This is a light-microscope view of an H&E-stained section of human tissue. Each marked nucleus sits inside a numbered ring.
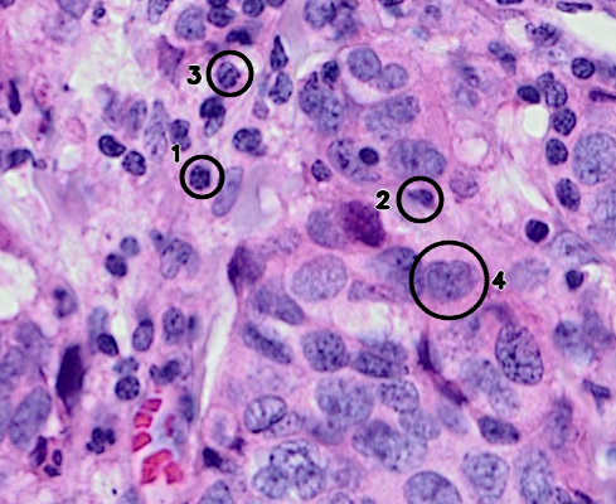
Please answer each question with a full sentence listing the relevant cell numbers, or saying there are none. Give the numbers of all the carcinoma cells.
Only the cell numbered 4 is a carcinoma cell, and the others are something else.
